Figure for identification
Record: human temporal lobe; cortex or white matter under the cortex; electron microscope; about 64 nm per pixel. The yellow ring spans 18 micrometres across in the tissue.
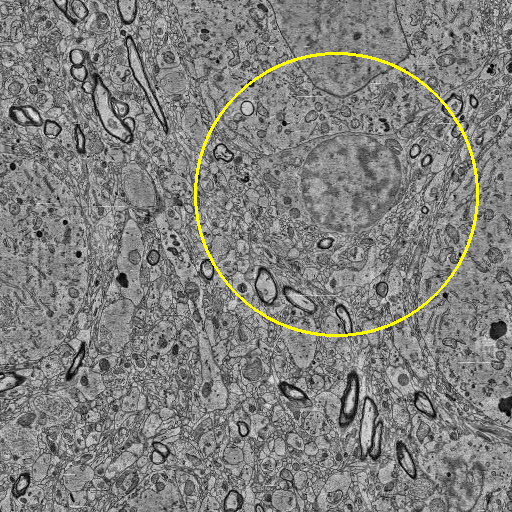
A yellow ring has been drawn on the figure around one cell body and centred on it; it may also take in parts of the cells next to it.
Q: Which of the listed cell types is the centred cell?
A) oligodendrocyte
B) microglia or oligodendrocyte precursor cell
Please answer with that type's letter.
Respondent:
A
